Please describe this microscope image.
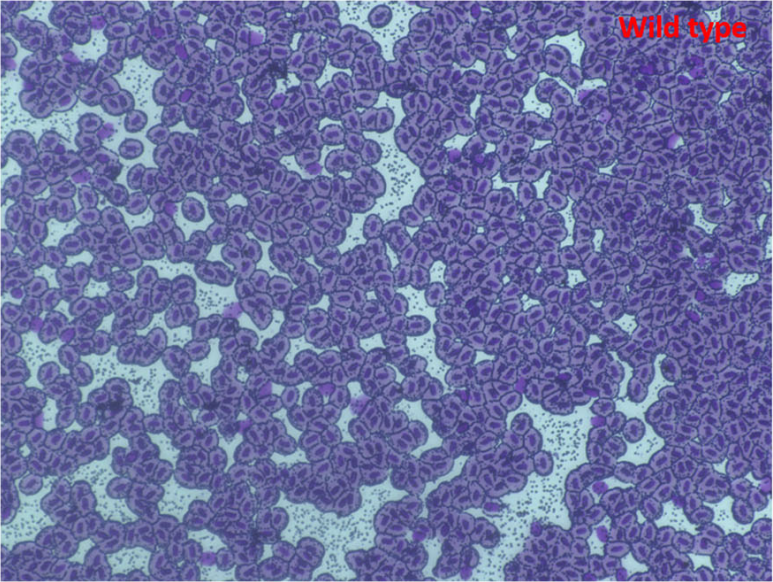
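Blood smear made up almost entirely of densely packed oval, nucleated red blood cells. Each cell has a central, darker purple oval nucleus within lighter lilac cytoplasm, and a thin dark outline. The cells lie crowded and overlapping, with pale gaps between the groups. Fine, dark granular specks are scattered in the background between the cells.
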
